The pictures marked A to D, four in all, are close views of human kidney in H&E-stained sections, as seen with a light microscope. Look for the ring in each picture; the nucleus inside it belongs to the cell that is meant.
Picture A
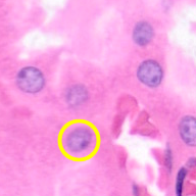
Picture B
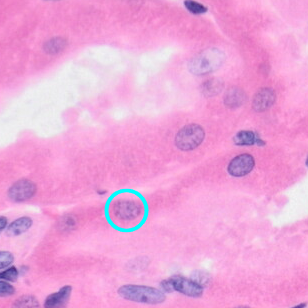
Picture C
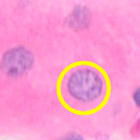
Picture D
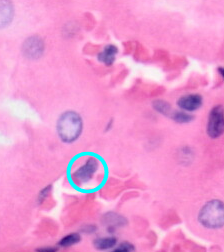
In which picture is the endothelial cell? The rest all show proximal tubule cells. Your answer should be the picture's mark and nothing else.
D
